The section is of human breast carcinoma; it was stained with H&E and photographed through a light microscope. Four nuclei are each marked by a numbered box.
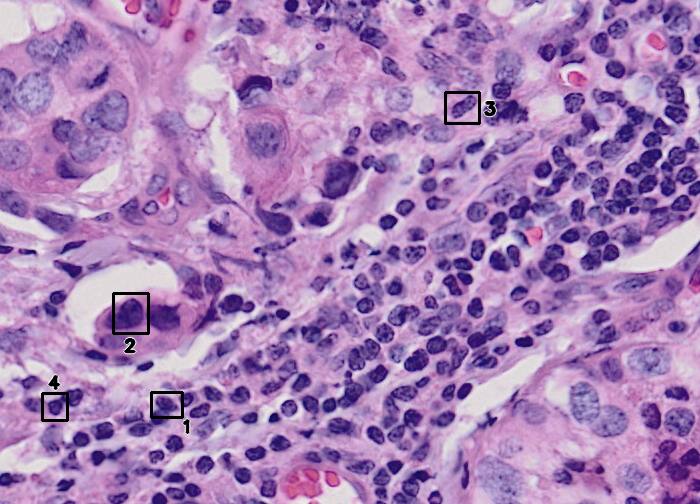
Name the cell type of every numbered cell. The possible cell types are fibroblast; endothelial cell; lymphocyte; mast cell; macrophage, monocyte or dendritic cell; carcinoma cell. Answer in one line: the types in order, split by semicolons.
lymphocyte; carcinoma cell; lymphocyte; lymphocyte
